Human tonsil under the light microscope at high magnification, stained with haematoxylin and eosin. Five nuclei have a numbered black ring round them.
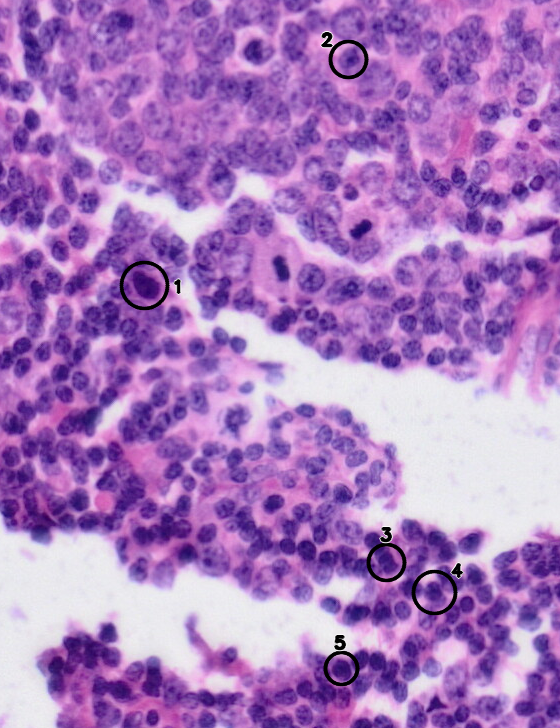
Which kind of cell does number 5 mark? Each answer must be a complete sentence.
Here the cell numbered 5 is a small lymphocyte.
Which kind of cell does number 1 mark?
The label 1 in this section denotes a proliferating B cell.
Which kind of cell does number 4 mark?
The cell that goes by number 4 is a small lymphocyte.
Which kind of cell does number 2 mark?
Cell 2, as marked in the section, is a proliferating B cell.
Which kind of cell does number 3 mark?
The cell indicated by marker 3 is a small lymphocyte in this section.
